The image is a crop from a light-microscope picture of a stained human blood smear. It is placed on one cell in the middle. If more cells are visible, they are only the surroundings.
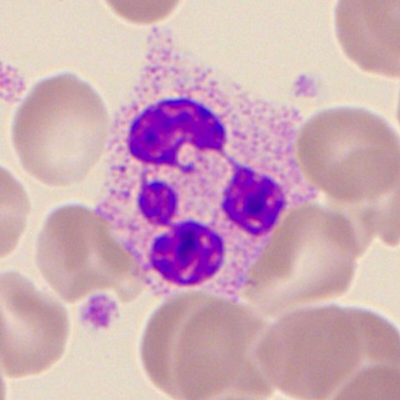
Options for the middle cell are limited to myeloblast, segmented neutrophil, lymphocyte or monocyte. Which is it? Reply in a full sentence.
For this crop, the cell in the middle is a segmented neutrophil.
